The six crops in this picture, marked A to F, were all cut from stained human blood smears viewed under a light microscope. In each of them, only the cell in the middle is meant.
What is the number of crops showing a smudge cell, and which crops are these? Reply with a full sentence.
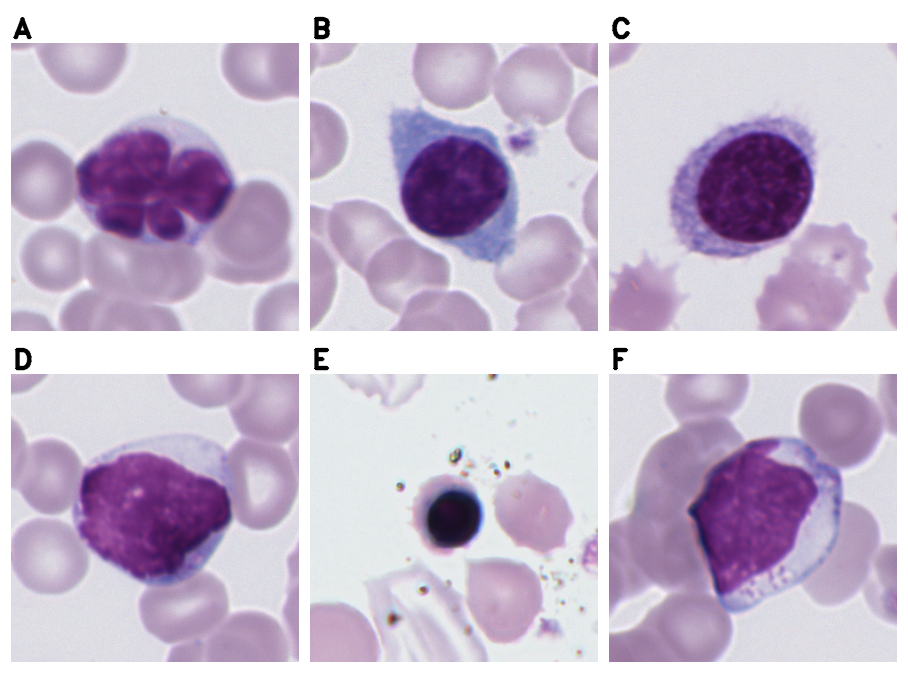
The count is zero, there being no smudge cells in any of the crops.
